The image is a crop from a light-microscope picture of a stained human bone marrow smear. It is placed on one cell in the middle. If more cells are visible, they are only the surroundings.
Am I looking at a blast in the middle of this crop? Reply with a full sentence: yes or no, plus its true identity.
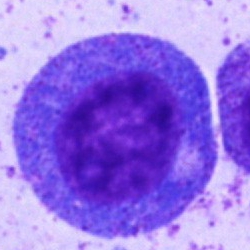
No, the middle of this crop is occupied by a promyelocyte rather than a blast.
